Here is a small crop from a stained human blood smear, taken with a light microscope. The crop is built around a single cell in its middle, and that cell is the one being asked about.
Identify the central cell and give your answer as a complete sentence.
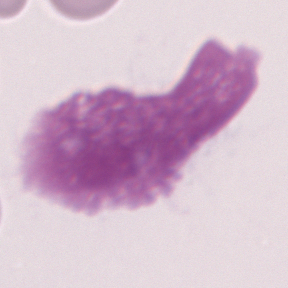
Whatever else lies nearby, the middle cell is a smudge cell.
